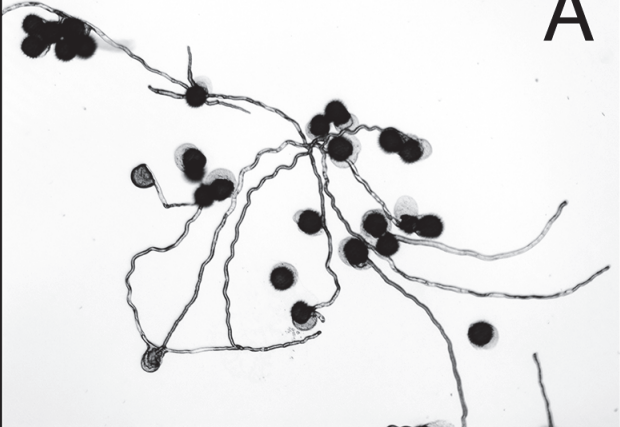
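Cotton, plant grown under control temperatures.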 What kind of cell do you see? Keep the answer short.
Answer: Pollen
